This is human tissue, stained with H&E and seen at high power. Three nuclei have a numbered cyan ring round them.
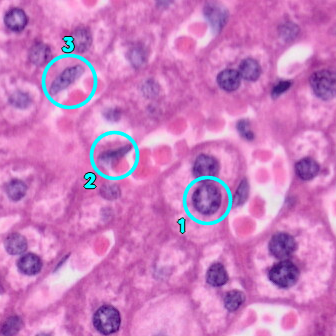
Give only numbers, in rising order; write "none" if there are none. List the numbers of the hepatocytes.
1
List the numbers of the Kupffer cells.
3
